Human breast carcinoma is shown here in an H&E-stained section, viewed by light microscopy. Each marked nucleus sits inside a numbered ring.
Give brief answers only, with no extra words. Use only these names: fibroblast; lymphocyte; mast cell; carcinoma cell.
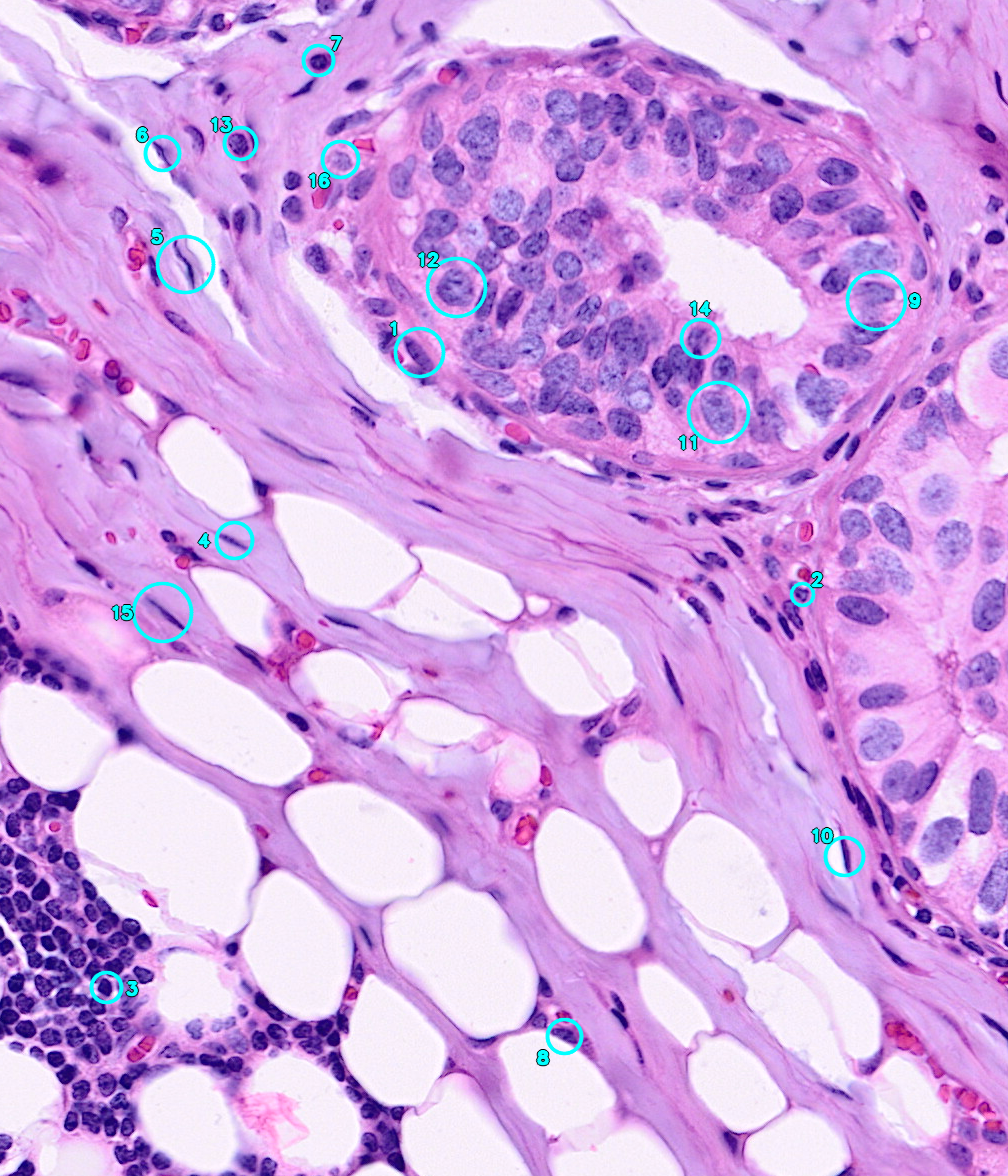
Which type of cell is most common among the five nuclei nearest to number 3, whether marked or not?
lymphocyte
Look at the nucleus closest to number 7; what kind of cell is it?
fibroblast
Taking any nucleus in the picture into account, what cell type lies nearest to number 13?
fibroblast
